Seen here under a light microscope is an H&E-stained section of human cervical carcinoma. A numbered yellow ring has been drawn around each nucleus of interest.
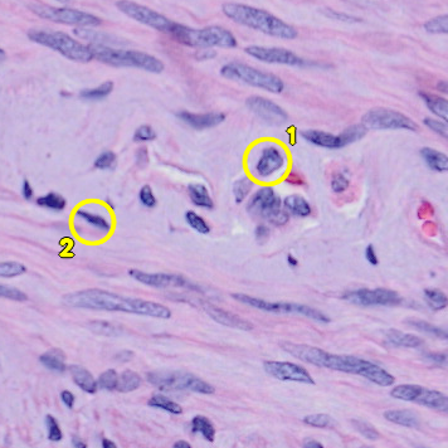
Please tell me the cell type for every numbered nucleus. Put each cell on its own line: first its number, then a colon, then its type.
1: endothelial cell
2: fibroblast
